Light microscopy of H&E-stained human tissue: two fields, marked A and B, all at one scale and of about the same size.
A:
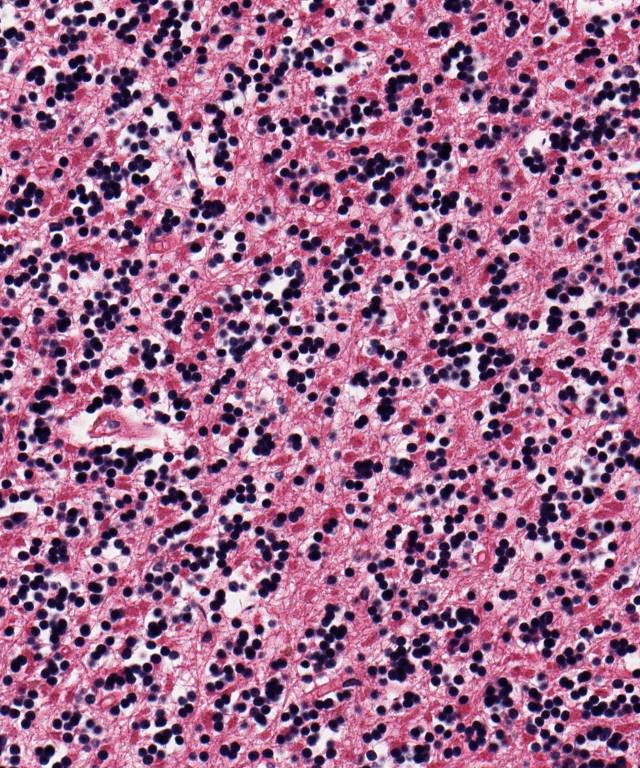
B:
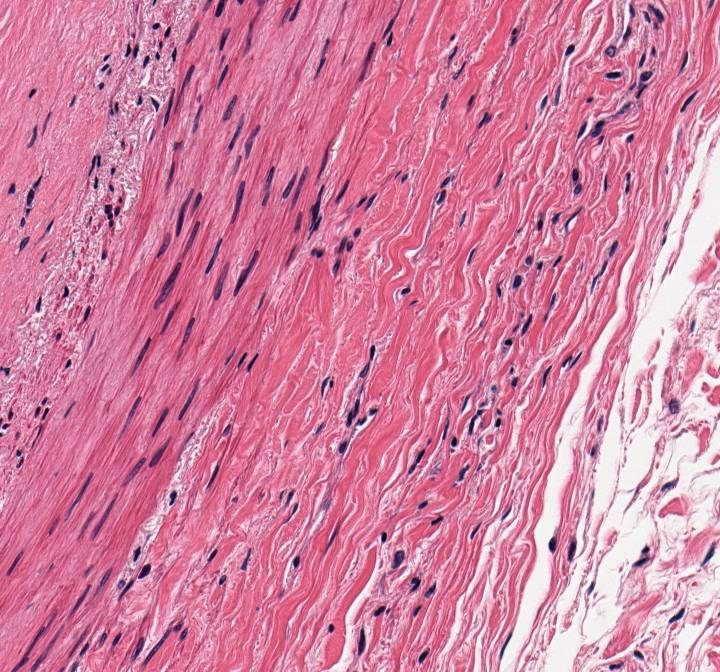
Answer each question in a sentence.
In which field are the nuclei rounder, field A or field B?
Rounder nuclei lie in field A.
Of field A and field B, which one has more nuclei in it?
There are more nuclei in field A.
